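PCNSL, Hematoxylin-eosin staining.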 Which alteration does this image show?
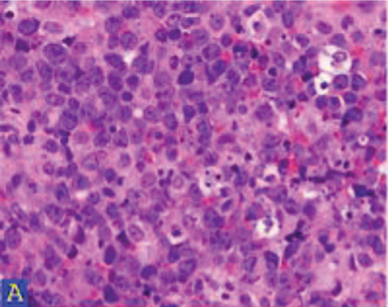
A: Discohesive, large, pleomorphic cells.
